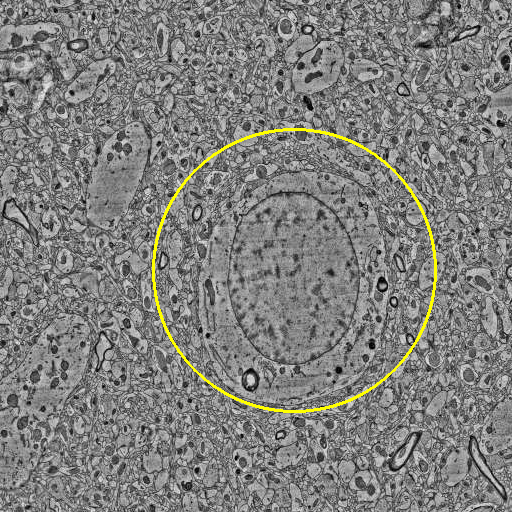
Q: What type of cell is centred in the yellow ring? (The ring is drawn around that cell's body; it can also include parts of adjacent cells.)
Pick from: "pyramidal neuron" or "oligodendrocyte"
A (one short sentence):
The yellow ring is centred on a pyramidal neuron.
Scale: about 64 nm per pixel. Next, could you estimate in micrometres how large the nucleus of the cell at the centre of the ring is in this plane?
The nucleus appears roughly 11 by 8 micrometres in this plane.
